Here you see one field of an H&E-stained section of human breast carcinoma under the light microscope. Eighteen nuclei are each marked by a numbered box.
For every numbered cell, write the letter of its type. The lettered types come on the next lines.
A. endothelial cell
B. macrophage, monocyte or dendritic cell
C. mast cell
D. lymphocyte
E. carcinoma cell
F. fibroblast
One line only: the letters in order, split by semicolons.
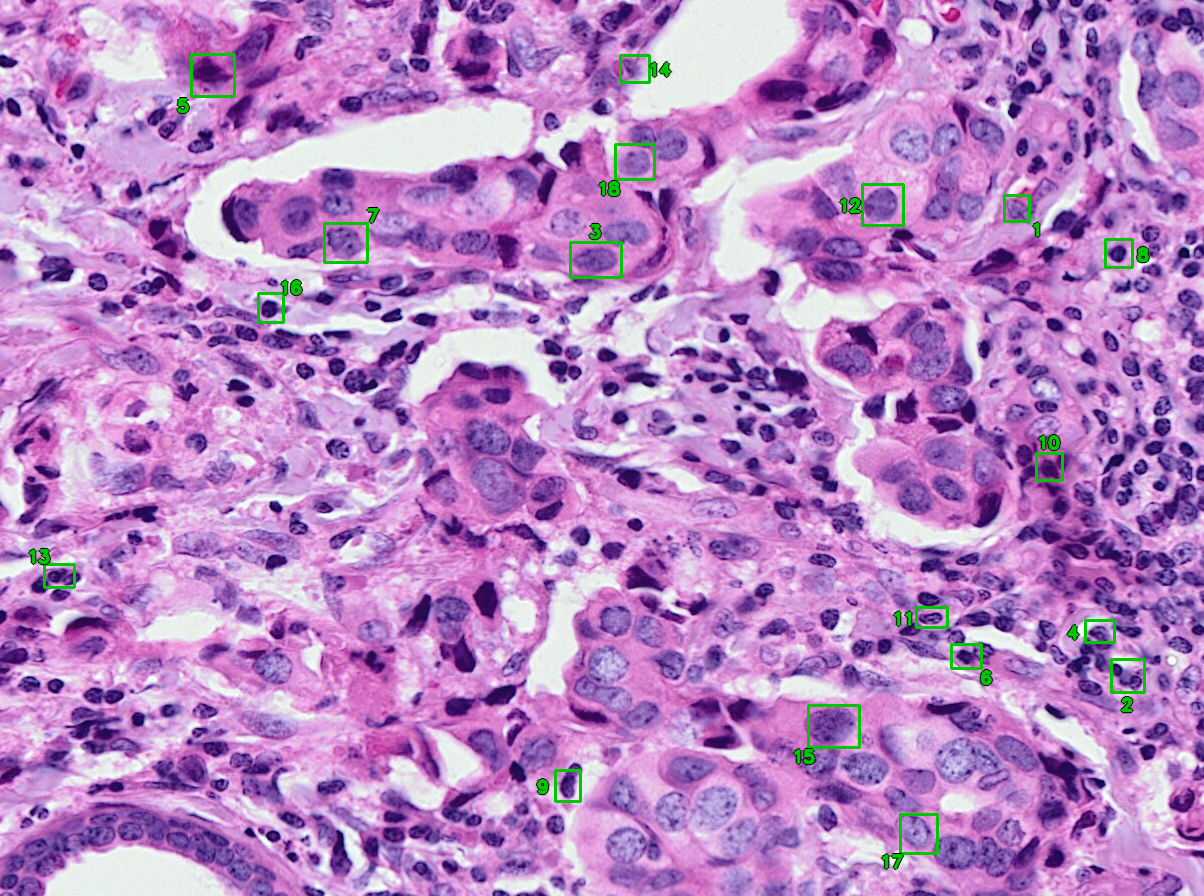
A; D; E; D; E; D; E; D; D; D; D; E; D; A; E; D; E; E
